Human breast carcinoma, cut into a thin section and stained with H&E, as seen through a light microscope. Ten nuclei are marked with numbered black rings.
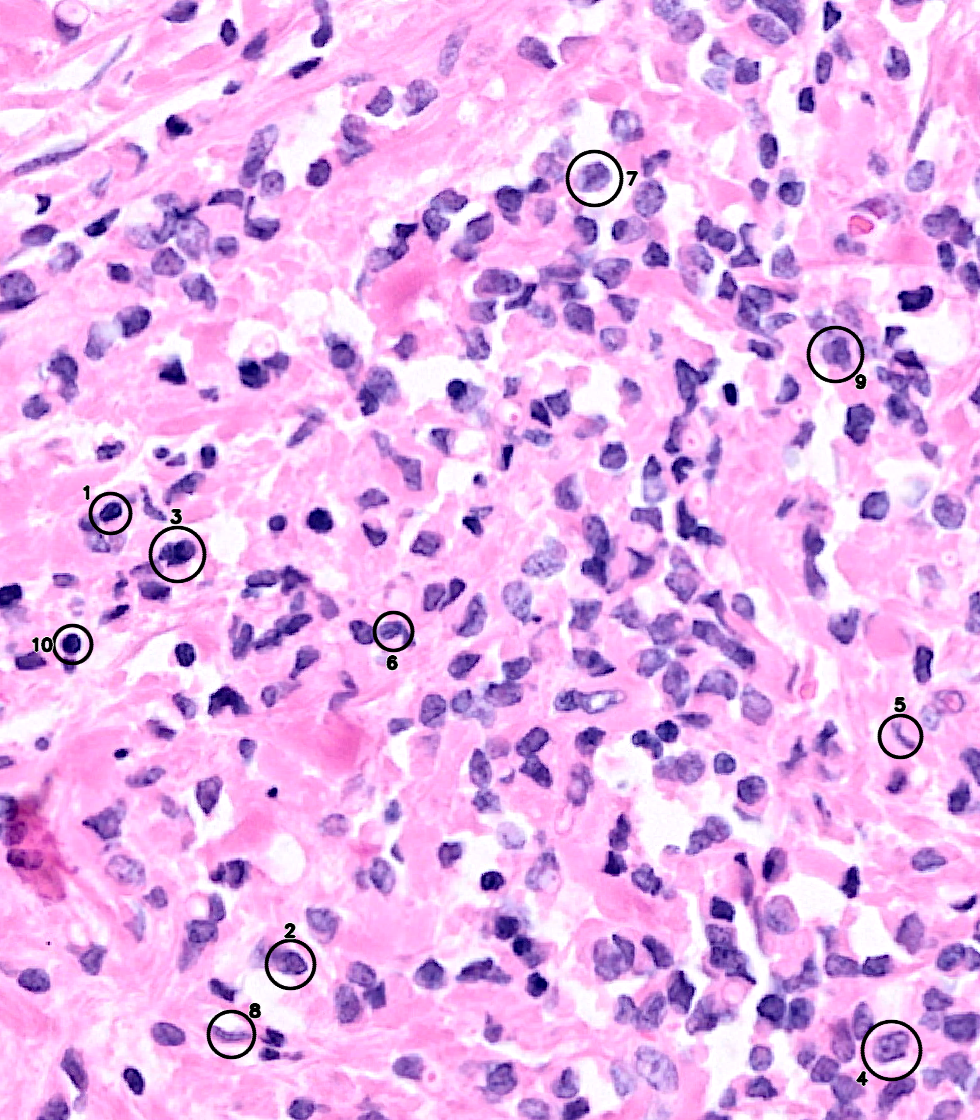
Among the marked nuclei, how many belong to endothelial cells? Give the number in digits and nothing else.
1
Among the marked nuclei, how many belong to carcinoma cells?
4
